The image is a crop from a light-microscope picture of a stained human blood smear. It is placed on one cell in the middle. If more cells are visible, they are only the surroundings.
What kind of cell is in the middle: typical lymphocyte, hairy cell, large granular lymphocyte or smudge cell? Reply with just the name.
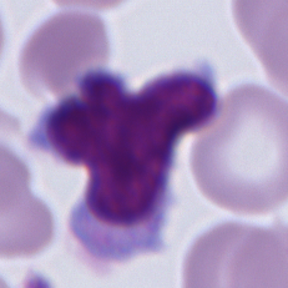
typical lymphocyte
